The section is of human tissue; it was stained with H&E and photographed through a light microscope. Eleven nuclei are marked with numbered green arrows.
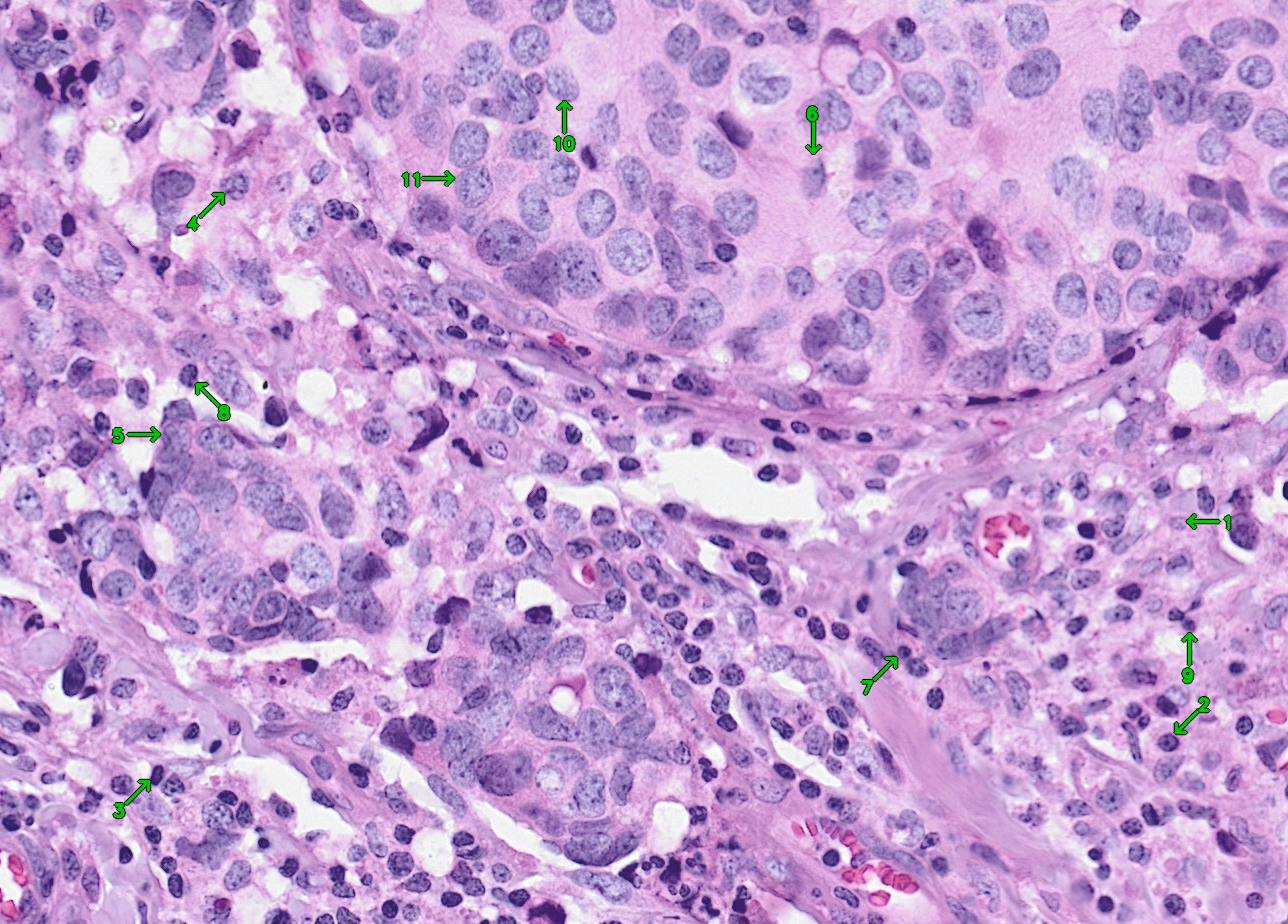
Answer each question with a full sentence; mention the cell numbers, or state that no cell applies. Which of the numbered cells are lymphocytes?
Cells 3, 7, 8 and 9 are classified as lymphocytes.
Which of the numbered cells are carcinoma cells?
As for the cells numbered 5, 6, 10 and 11, they are carcinoma cells.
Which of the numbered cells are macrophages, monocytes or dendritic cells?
The cells that bear the numbers 1 and 4 are macrophages, monocytes or dendritic cells.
